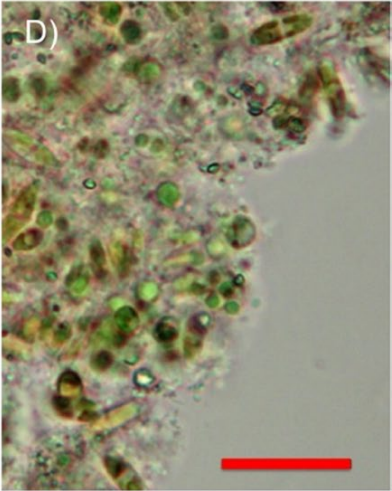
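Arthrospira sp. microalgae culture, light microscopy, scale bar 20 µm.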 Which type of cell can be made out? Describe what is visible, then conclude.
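Elongated golden-brown cells with straight, rigid-looking walls. That points to this answer: diatoms.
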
